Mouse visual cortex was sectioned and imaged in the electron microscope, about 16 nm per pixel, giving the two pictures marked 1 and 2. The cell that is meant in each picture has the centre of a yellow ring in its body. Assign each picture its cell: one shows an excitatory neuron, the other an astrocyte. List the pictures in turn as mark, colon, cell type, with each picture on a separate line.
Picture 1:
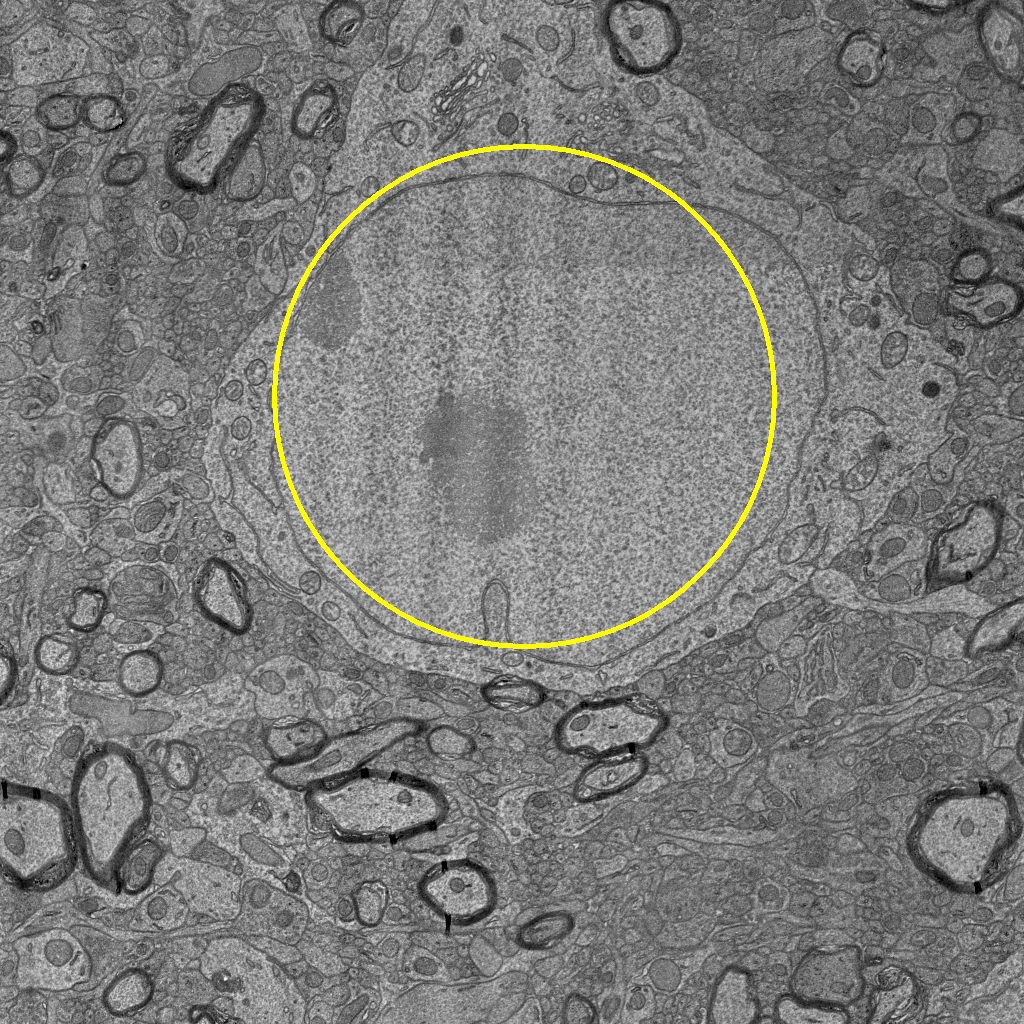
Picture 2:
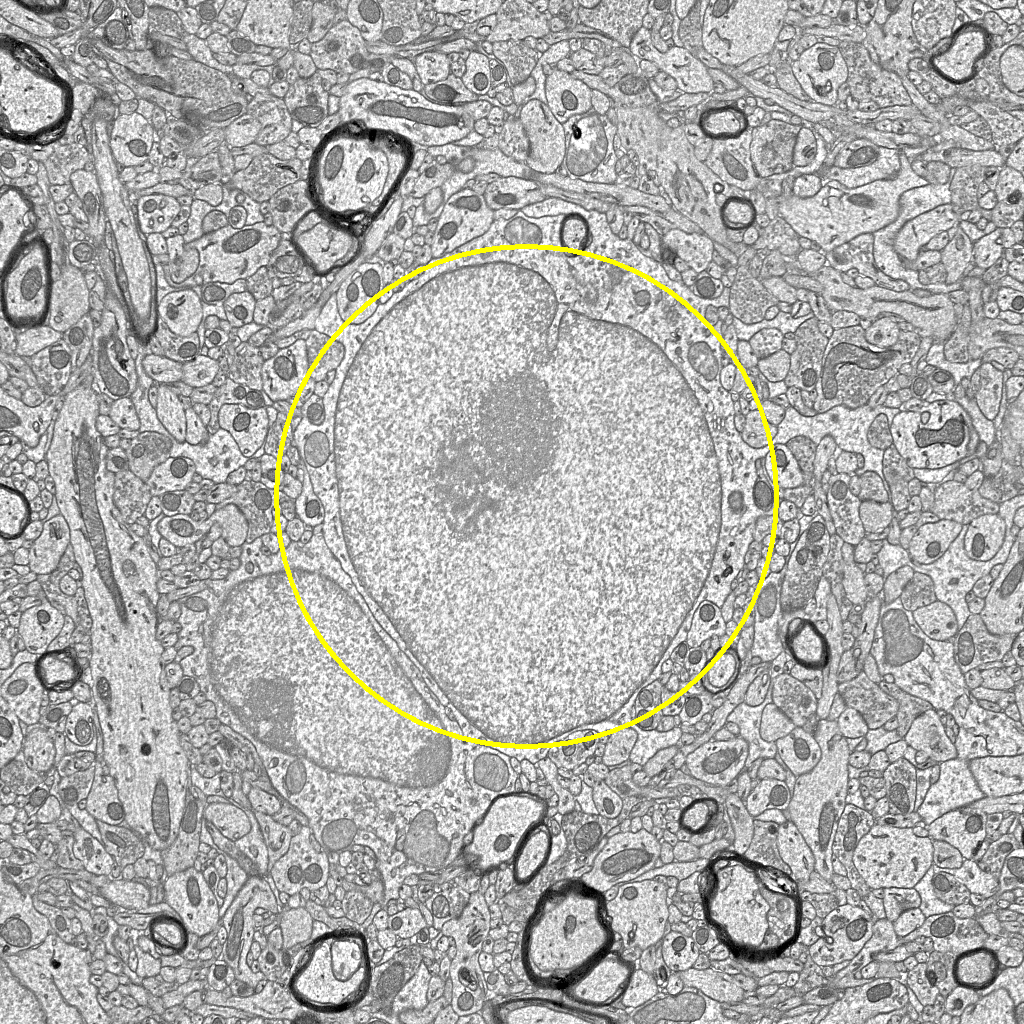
1: excitatory neuron
2: astrocyte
